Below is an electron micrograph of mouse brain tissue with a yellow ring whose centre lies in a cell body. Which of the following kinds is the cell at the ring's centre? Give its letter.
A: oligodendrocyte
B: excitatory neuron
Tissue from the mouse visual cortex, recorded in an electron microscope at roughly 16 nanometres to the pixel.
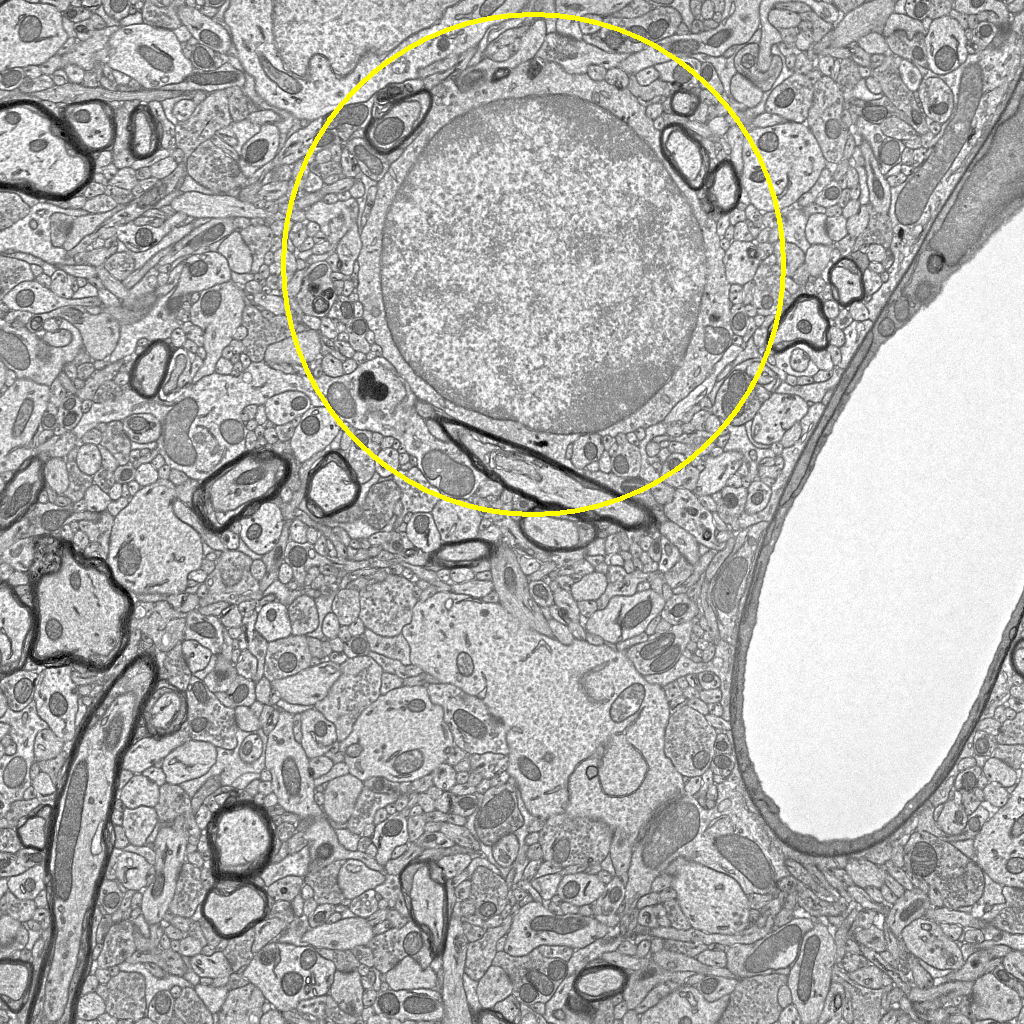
A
